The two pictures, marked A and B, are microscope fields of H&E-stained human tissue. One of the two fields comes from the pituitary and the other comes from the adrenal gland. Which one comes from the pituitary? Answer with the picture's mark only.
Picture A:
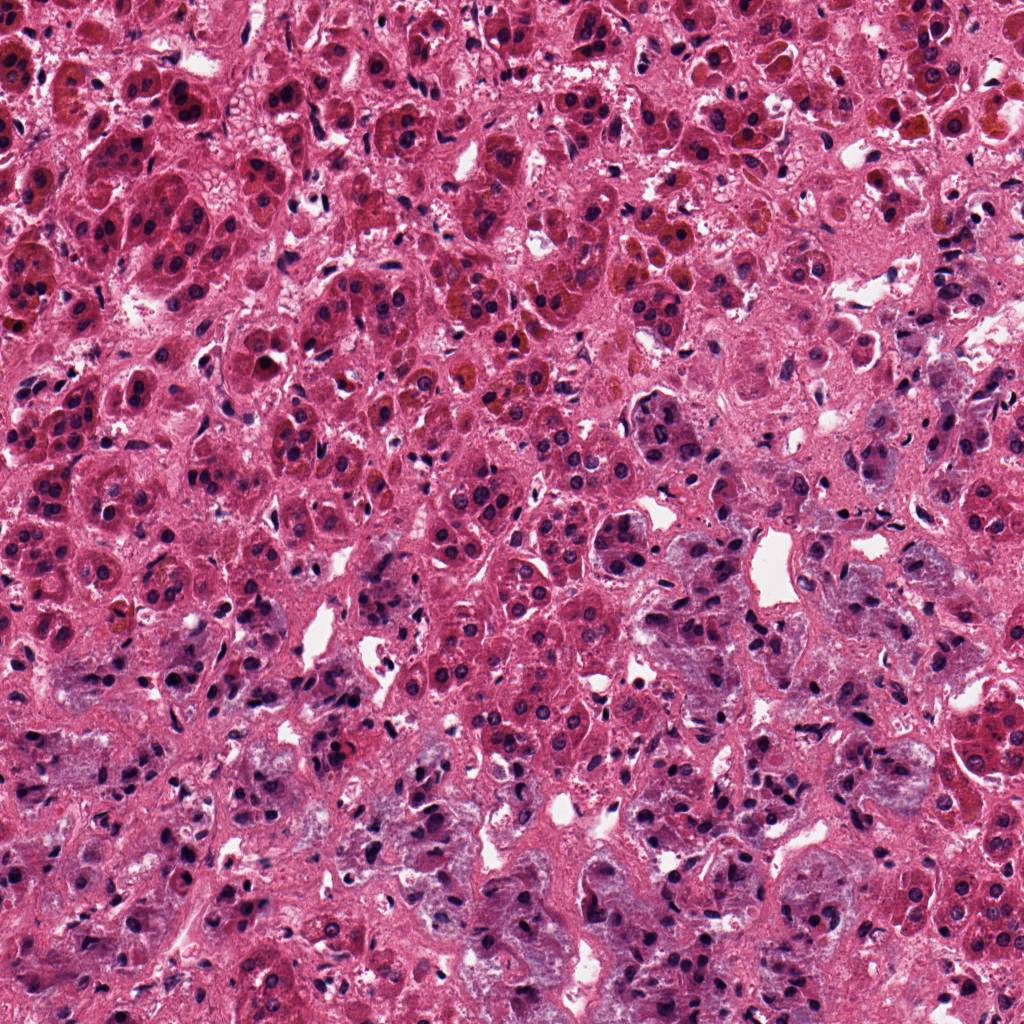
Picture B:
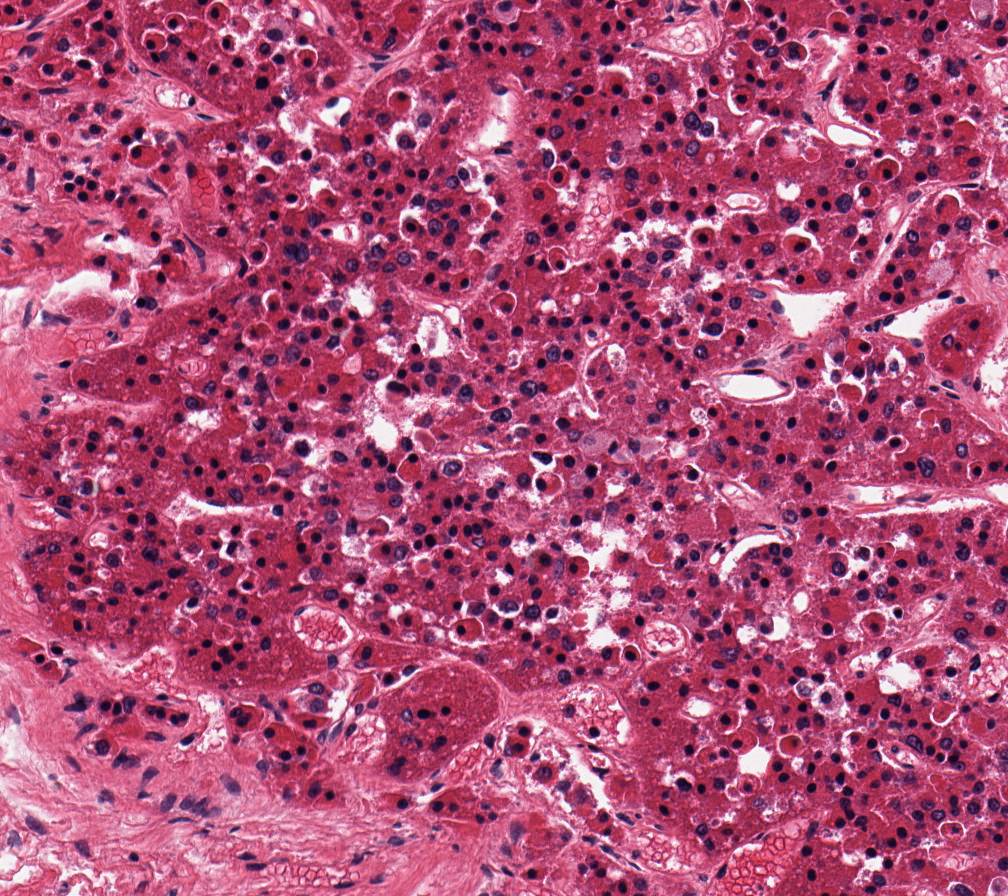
B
